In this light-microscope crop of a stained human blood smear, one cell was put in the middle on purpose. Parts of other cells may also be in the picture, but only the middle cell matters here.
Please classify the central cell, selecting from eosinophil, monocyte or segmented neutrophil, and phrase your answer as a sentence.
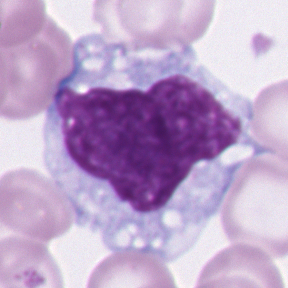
Centrally within this crop lies a monocyte.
